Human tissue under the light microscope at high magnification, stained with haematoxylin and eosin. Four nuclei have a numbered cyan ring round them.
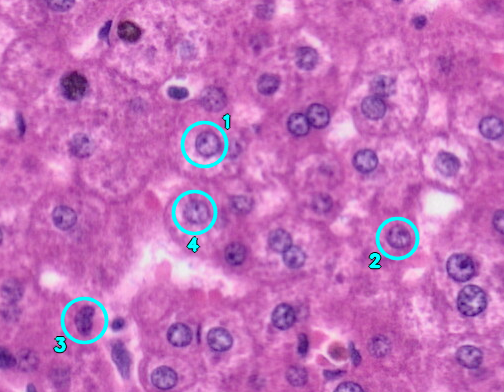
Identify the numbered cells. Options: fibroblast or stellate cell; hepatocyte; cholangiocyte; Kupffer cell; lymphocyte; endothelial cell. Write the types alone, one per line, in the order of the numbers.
hepatocyte
hepatocyte
fibroblast or stellate cell
hepatocyte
